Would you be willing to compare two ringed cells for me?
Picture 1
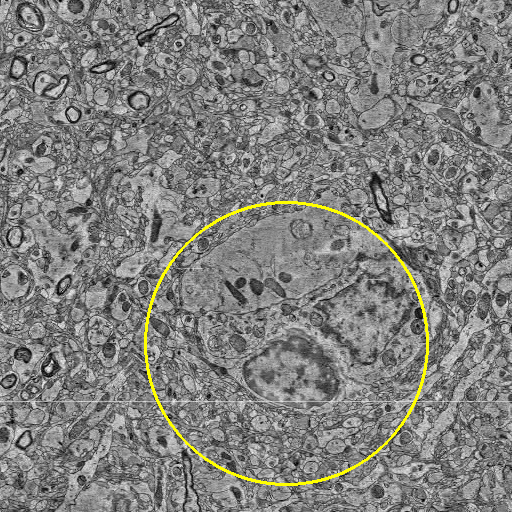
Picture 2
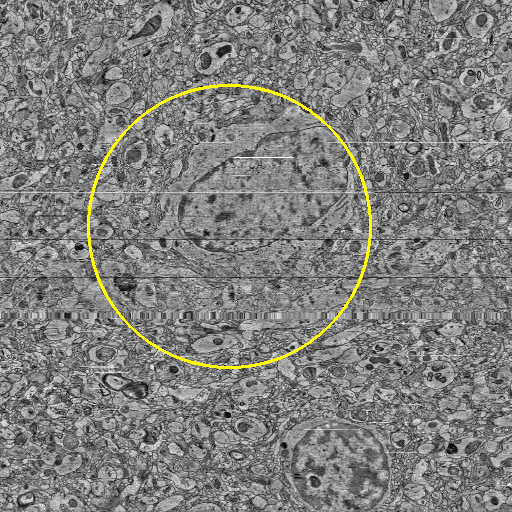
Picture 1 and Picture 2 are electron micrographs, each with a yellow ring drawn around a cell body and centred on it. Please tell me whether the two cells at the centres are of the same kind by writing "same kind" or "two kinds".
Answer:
same kind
